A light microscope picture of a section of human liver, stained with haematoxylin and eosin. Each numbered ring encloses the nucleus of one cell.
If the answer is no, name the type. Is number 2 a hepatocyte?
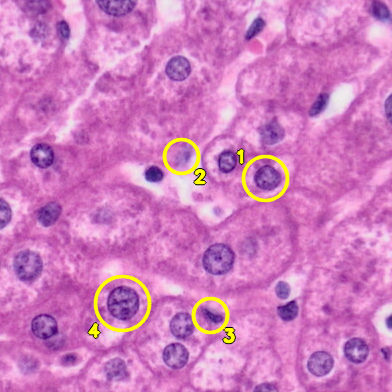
No, it is a Kupffer cell.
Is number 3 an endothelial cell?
Yes.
